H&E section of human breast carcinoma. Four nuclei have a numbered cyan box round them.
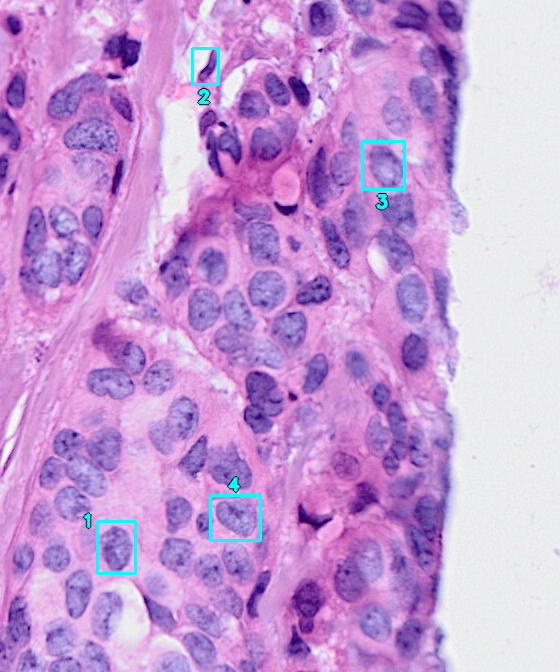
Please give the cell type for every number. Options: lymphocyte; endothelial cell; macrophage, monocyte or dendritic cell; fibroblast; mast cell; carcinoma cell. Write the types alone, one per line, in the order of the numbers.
carcinoma cell
fibroblast
carcinoma cell
carcinoma cell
